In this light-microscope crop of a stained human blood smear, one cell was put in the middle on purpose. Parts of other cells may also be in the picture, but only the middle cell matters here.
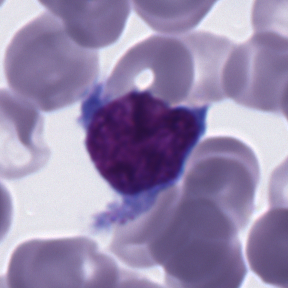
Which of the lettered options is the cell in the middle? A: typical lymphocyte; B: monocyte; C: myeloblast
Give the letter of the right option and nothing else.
A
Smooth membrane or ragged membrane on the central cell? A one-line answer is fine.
A ragged or projecting edge replaces the smooth outline in this cell.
